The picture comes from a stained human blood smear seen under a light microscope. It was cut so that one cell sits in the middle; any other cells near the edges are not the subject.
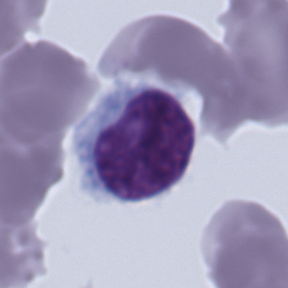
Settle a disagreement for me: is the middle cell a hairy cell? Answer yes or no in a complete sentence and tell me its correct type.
Yes, the one cell at the centre is a hairy cell.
